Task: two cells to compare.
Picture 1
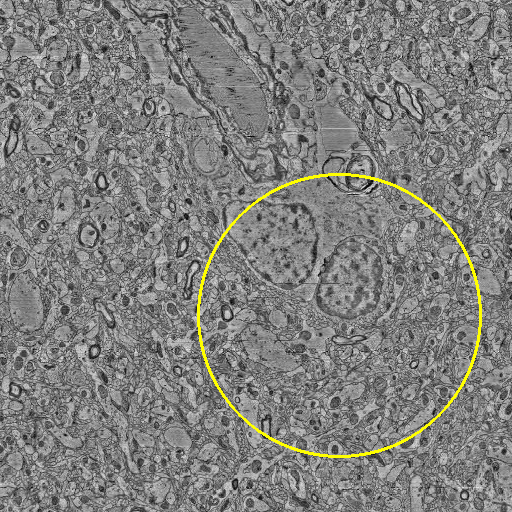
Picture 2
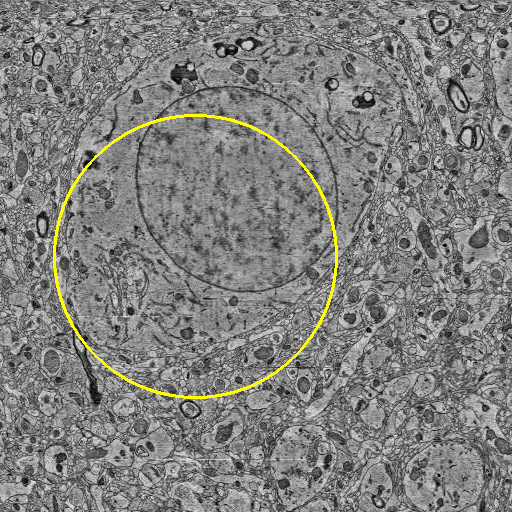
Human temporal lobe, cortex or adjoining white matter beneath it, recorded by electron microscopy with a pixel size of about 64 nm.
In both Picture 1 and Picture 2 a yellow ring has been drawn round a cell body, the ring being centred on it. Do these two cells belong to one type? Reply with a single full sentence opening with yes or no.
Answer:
No, the two cells at the ring centres in Picture 1 and Picture 2 are of two types.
